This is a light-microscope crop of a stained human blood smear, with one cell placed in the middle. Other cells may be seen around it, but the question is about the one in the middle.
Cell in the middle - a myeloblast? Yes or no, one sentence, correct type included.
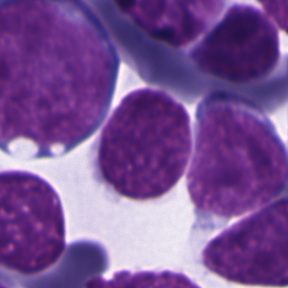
Yes, the cell shown at the crop's centre is a myeloblast.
